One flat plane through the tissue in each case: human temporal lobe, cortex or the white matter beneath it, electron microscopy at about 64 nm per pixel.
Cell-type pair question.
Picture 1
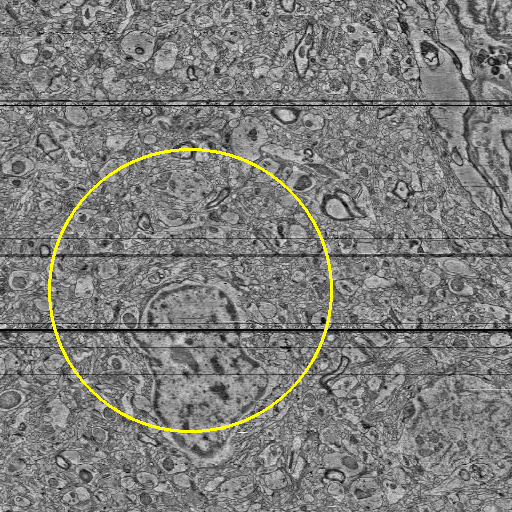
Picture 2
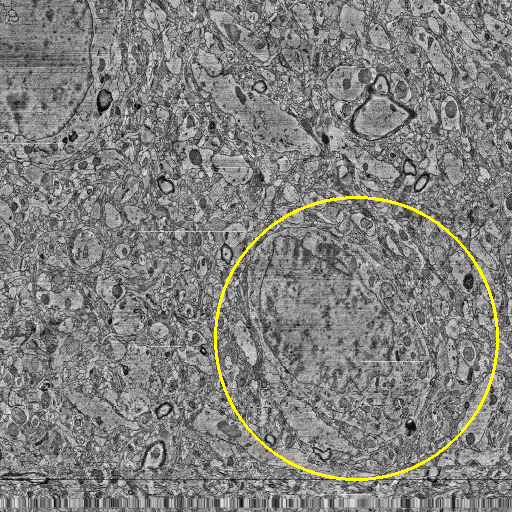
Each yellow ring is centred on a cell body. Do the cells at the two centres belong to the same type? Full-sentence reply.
No, the two cells belong to two types.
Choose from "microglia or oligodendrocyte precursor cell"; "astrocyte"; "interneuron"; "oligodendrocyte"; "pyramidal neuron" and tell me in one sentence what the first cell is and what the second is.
What the first ring is centred on is a microglial cell or oligodendrocyte precursor cell; what the second ring is centred on is an interneuron.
